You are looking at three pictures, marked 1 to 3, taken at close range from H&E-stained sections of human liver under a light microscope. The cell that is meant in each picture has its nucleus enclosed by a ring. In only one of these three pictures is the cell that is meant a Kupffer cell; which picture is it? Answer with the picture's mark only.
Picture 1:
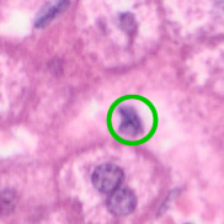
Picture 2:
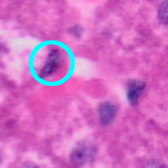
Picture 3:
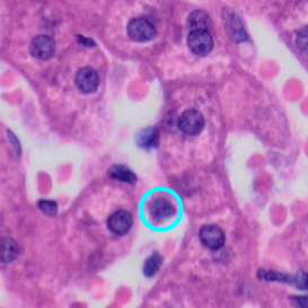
3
